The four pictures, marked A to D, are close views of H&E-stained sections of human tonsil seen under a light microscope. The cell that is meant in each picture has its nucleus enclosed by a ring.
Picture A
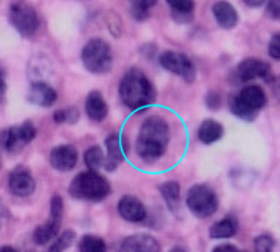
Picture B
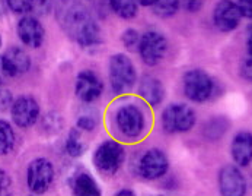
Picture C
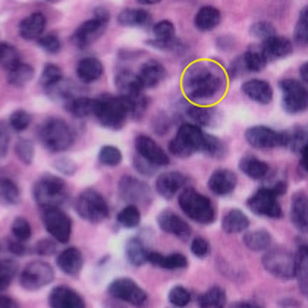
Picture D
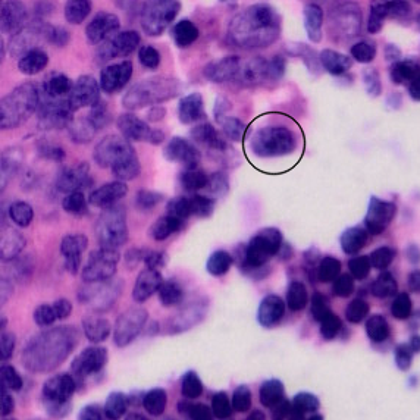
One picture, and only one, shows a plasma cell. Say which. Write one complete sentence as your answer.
The picture with the plasma cell is B.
